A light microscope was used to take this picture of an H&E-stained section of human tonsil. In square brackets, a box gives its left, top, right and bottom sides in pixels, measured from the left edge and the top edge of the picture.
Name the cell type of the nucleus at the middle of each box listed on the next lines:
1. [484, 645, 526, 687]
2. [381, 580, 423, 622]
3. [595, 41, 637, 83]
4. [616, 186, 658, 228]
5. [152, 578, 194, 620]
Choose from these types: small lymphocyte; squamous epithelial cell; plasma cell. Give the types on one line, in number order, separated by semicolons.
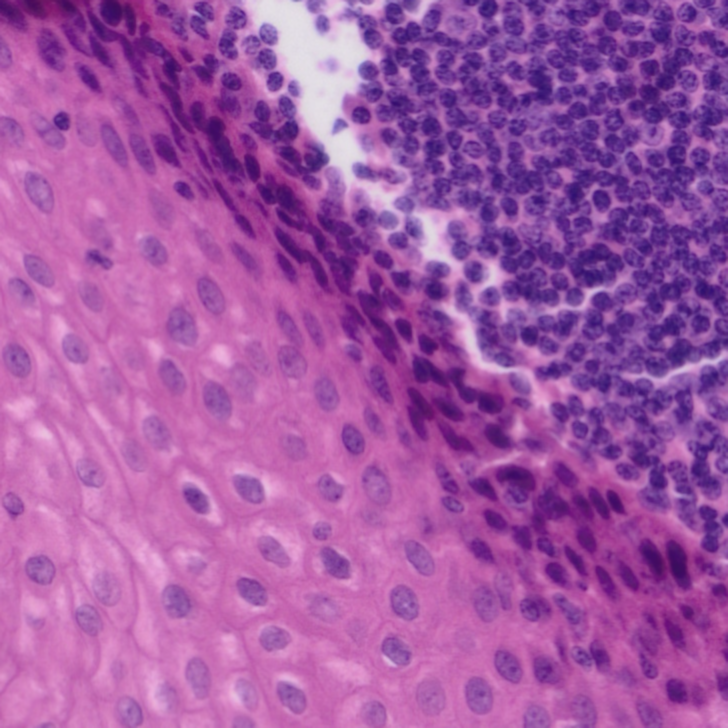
squamous epithelial cell; squamous epithelial cell; small lymphocyte; small lymphocyte; squamous epithelial cell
